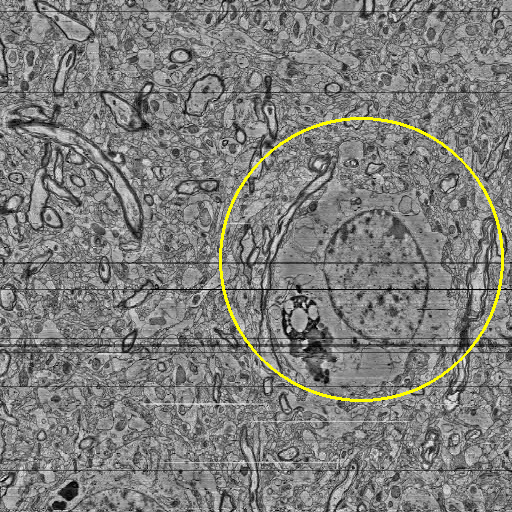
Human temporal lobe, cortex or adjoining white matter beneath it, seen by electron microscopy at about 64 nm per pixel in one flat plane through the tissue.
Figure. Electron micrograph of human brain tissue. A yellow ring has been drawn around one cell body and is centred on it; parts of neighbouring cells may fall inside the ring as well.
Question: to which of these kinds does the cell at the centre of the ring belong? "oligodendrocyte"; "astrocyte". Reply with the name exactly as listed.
astrocyte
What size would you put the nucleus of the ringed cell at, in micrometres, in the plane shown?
The nucleus has a long axis of about 9 micrometres and a short axis of about 7 micrometres in this plane.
